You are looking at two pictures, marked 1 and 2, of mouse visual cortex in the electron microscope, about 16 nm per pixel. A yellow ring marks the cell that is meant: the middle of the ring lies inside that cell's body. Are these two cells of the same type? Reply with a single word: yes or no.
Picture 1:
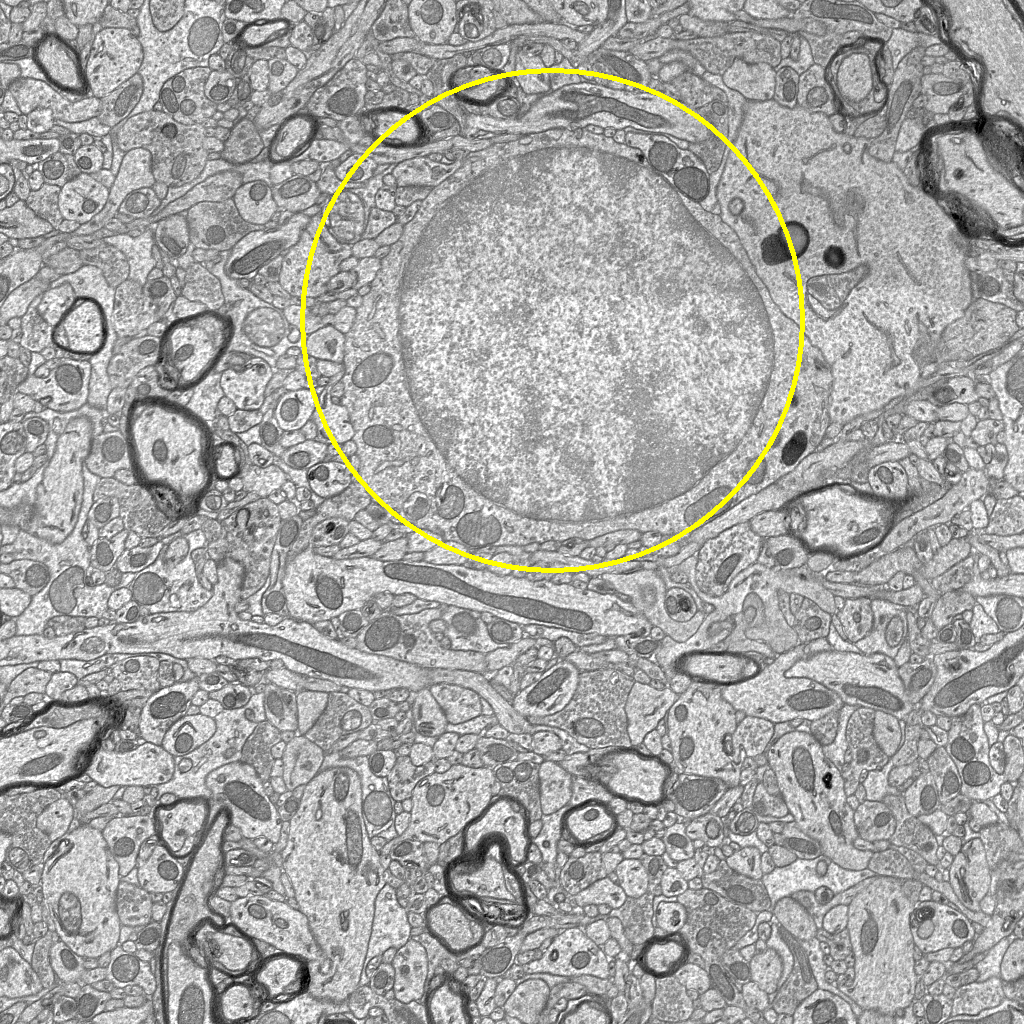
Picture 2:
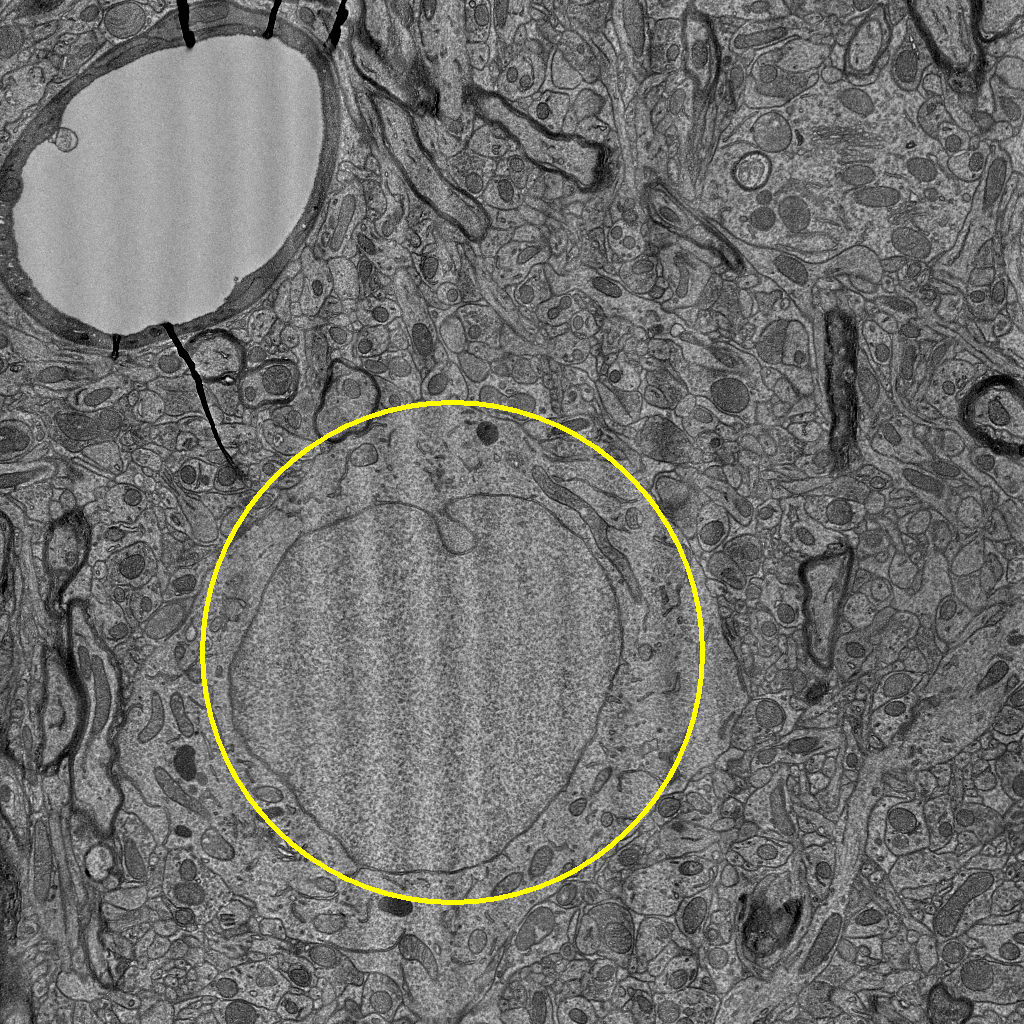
no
